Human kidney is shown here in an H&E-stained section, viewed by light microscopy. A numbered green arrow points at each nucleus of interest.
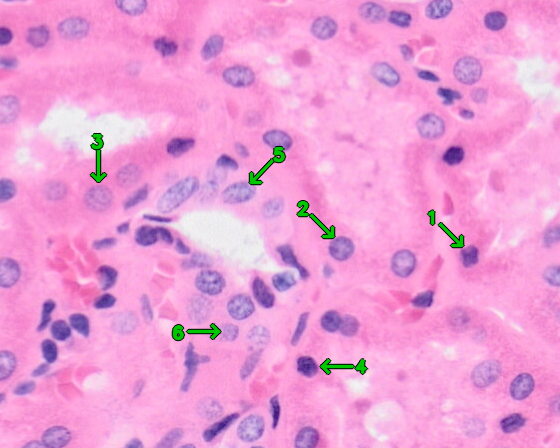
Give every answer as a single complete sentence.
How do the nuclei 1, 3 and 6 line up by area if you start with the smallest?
Smallest first, the nuclei run 6, 1, 3.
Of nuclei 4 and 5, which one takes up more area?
The larger nucleus is 5, at roughly 1.5 times the area of 4.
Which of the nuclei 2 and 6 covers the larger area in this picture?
Of the two, number 2 is bigger and takes up about 2 times the area of number 6.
